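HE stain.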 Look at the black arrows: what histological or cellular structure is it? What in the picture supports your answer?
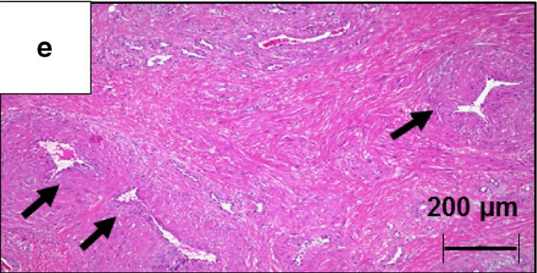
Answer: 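Prominently walled vessels. Arrows point to open lumina. Each lumen is surrounded by a thick wall of pink smooth muscle merging into the surrounding bundles.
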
